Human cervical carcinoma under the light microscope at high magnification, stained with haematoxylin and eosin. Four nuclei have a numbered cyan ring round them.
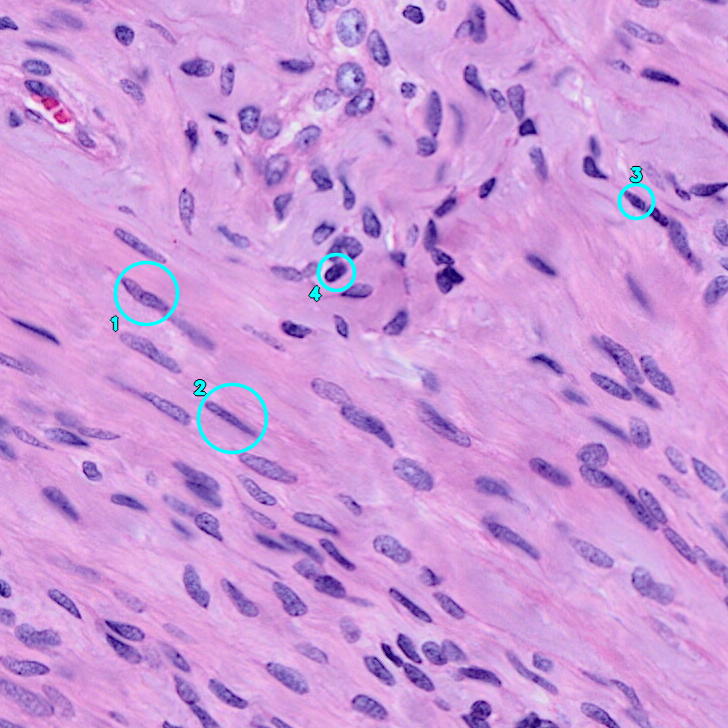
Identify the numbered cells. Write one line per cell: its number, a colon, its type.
1: fibroblast
2: fibroblast
3: fibroblast
4: lymphocyte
